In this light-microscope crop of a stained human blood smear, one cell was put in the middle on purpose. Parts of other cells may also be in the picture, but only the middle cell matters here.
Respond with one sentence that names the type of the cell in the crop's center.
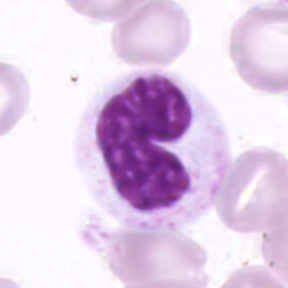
Located at the centre of the crop is a band neutrophil.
